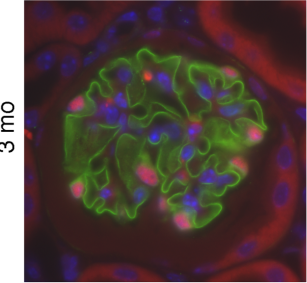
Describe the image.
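Renal glomerulus in cross section with a lobulated capillary tuft inside Bowman's capsule. Thin wavy green lines trace the capillary loops throughout the tuft. Several round nuclei glow pink and lie at the outer surface of the loops, the podocytes. Many other nuclei within the tuft are blue only. Surrounding tubules show red background fluorescence in their cytoplasm.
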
